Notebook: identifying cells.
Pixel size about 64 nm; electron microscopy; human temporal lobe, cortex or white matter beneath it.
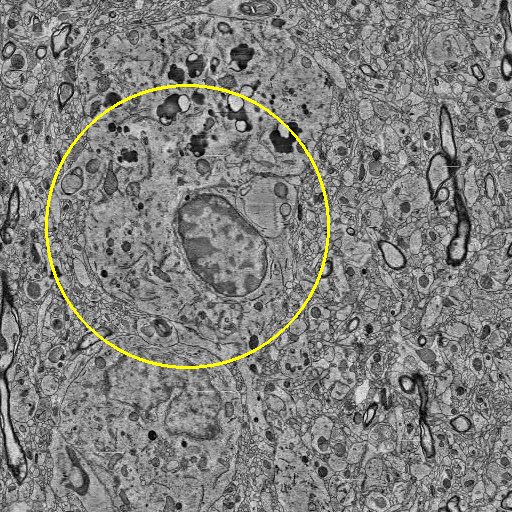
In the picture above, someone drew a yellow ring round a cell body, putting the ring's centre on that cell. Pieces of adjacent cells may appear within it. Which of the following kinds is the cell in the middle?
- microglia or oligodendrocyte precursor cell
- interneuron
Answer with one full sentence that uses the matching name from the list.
In this picture, the yellow ring is centred on the body of a microglial cell or oligodendrocyte precursor cell.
